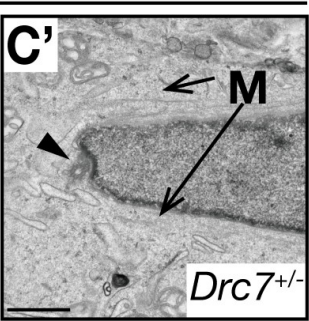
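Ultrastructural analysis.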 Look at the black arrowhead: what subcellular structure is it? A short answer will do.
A: Basal body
